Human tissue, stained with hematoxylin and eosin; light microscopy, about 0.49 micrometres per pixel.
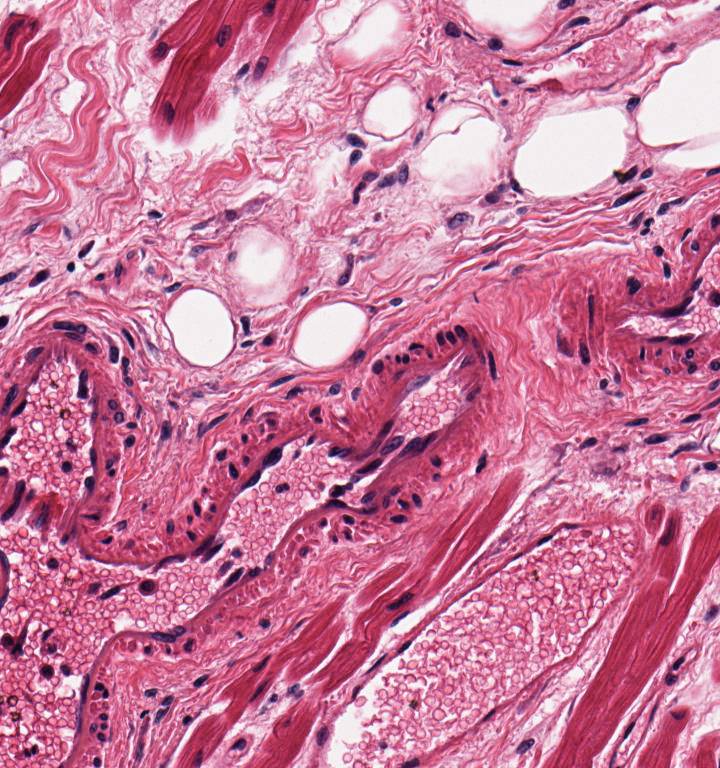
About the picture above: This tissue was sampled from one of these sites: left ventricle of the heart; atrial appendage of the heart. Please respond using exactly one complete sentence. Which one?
Sampling of this tissue was done from the atrial appendage of the heart.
